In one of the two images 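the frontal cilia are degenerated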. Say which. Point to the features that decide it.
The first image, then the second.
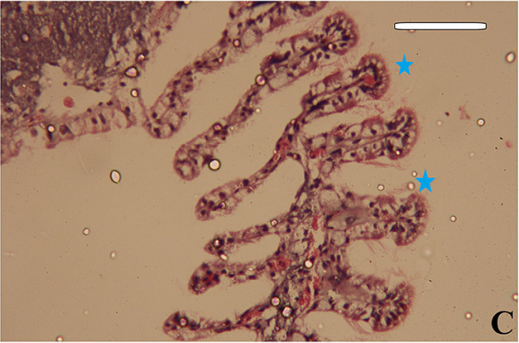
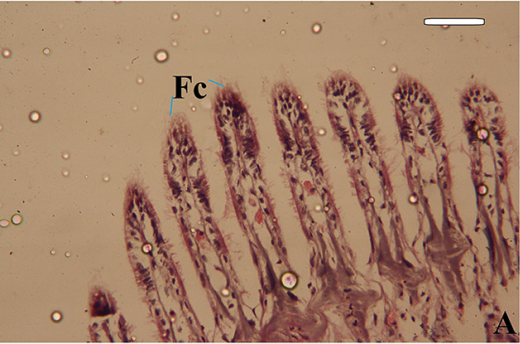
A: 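The first image. First image: the filament tips have a thin outline with few or no cilia. Second image: the filament tips carry a dense fringe of cilia.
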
